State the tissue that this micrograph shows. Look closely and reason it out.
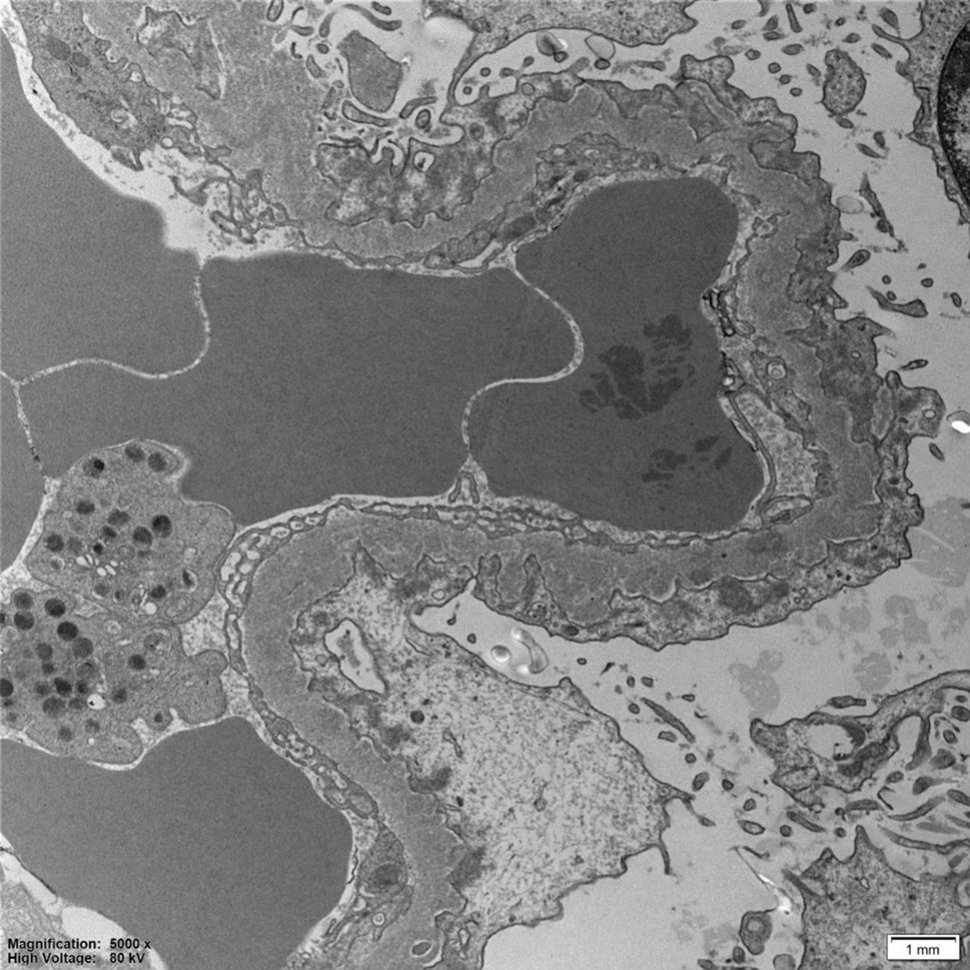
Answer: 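Glomerulus. Capillary lumens filled with dense red cells are bounded by thin endothelium and basement membrane. Epithelial cells with many thin processes lie in a clear urinary space on the outer side of the loops.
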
